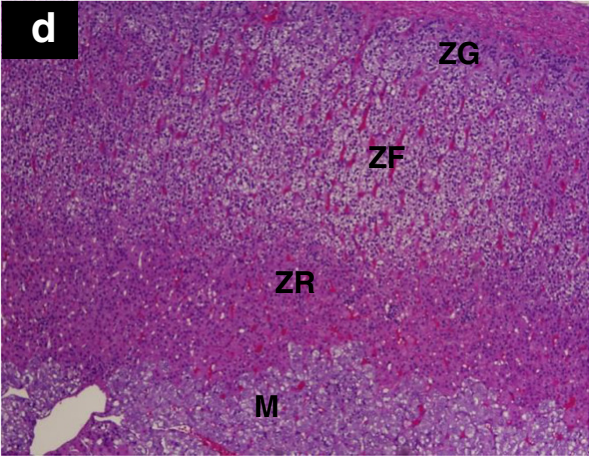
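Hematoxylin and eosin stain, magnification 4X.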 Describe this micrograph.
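Under a thin pink capsule at the top, a band of small, closely packed cells with purple nuclei forms clusters. Below, a wide layer of pale, clear-looking cells is arranged in straight radial columns with slender sinusoids between them. Deeper still, the cells are smaller and more eosinophilic, forming a darker pink-purple band. At the bottom lies a paler region of larger cells with bluish cytoplasm and a large empty vessel at the lower left.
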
